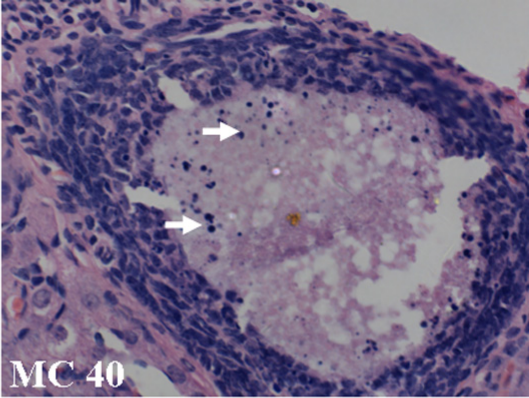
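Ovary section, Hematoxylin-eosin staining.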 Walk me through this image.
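An ovarian follicle has a wide cavity filled with pale pink, flocculent, vacuolated material, rimmed by a thin, irregular layer of granulosa cells and an outer band of spindle-shaped stromal cells. Within the cavity float many small, round, intensely dark bodies, isolated from the wall. These dark, condensed remnants are necrotic granulosa cells shed into the cavity, and the lining itself looks thinned and disorganized.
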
